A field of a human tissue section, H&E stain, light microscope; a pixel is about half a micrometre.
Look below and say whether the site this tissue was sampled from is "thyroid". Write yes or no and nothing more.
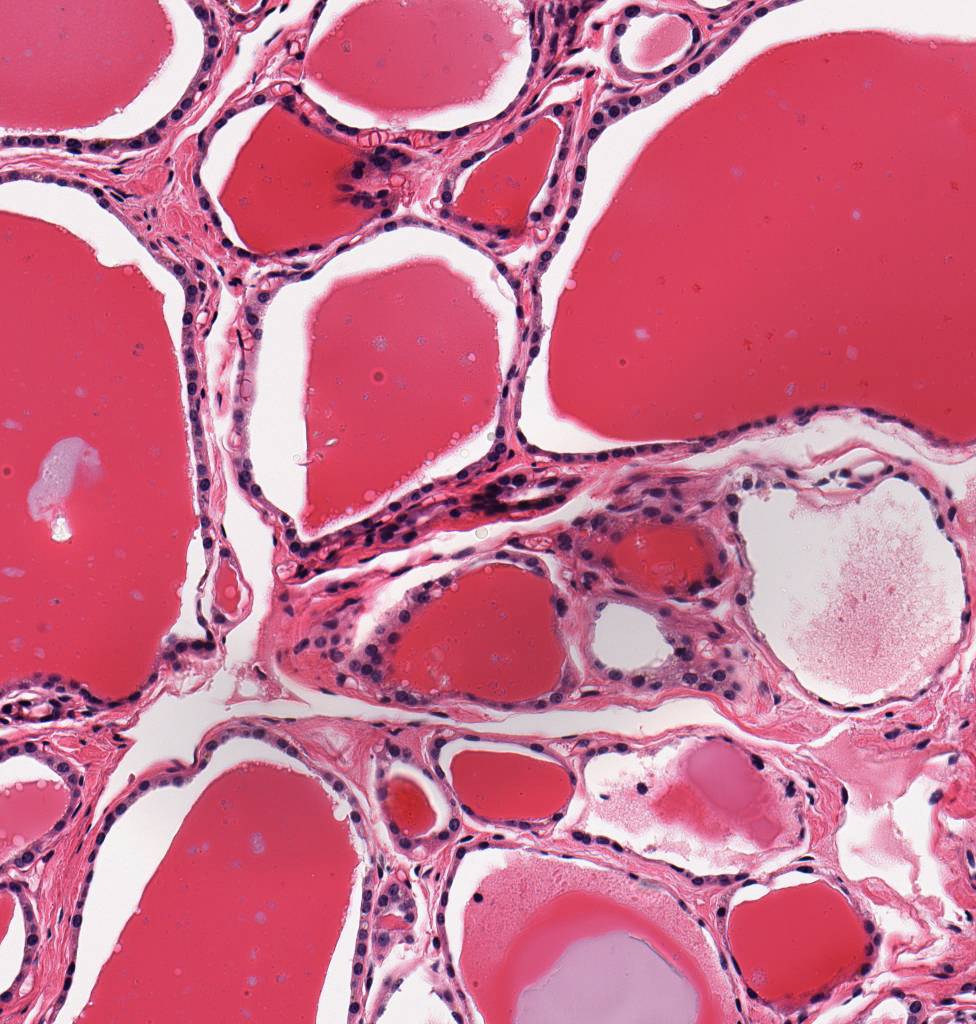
yes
